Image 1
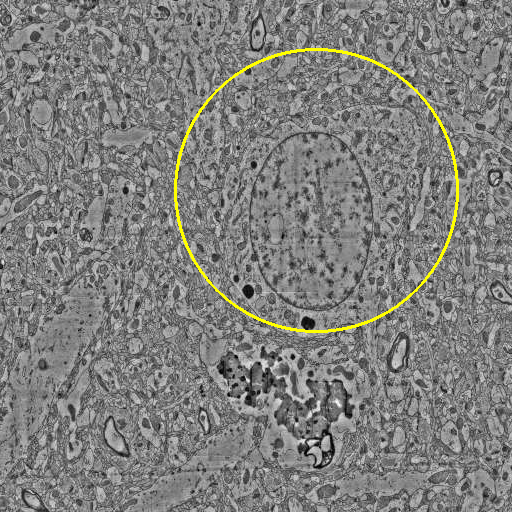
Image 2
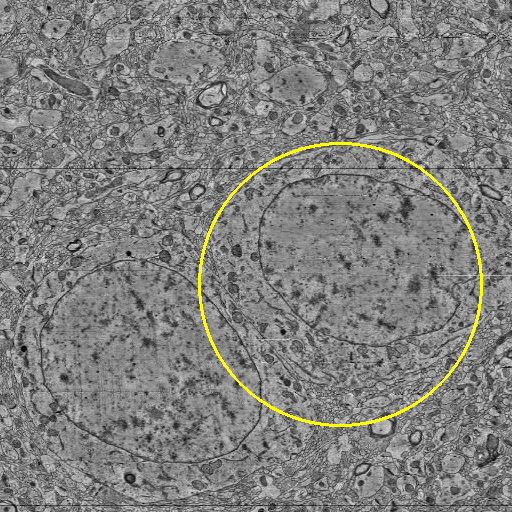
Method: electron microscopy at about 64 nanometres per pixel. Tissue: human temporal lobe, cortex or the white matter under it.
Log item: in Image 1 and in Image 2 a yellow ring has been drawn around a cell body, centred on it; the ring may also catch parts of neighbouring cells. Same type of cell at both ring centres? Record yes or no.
yes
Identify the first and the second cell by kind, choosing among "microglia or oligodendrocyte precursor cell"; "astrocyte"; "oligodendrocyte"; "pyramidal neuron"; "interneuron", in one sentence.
Each of the two rings surrounds a pyramidal neuron.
